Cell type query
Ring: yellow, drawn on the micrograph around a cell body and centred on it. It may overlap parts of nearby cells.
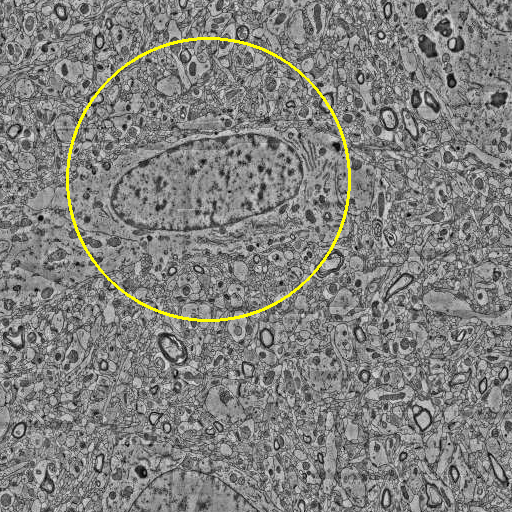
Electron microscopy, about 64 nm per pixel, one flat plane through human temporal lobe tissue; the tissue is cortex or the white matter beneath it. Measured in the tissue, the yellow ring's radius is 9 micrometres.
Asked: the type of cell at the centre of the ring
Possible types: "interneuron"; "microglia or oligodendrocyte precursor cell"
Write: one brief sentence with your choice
The ring marks a microglial cell or oligodendrocyte precursor cell.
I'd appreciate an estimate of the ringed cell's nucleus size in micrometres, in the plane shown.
In this plane the nucleus is roughly 12 by 6 micrometres, clearly longer than it is wide.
